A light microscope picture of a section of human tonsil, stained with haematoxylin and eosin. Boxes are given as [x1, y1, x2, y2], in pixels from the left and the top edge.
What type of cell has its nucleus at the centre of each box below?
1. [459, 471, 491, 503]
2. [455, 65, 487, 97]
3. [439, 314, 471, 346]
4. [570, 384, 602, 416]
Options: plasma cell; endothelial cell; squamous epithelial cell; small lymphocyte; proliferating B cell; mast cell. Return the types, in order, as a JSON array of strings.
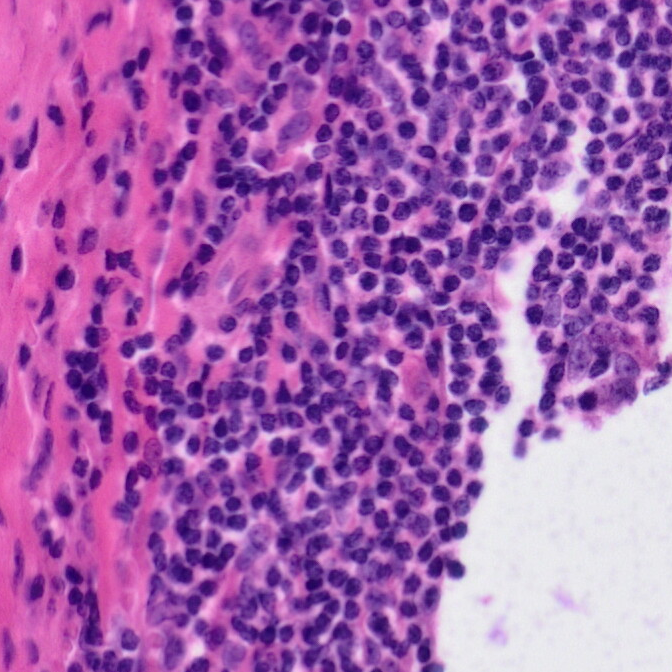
["small lymphocyte", "small lymphocyte", "small lymphocyte", "proliferating B cell"]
